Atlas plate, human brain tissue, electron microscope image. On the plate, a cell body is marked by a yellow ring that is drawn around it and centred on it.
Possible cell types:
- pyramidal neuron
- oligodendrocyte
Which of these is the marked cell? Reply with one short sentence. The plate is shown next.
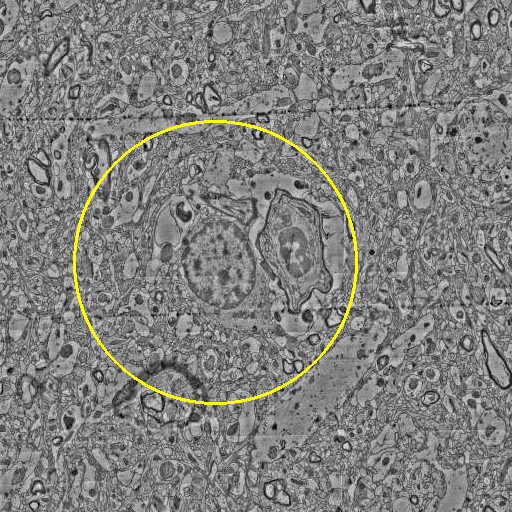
The marked cell is an oligodendrocyte.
